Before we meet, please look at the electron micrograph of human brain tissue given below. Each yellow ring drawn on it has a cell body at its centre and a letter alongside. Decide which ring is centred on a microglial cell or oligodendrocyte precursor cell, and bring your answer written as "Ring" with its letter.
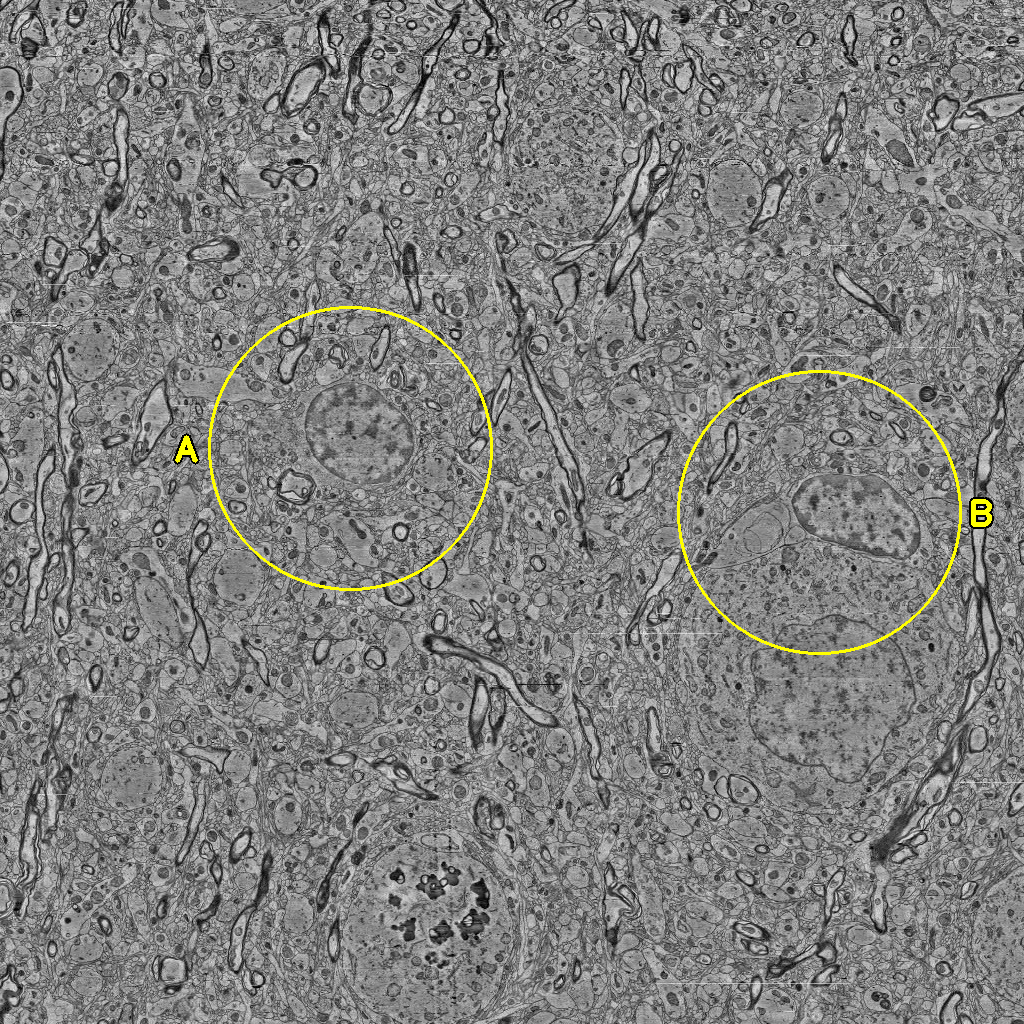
Ring B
